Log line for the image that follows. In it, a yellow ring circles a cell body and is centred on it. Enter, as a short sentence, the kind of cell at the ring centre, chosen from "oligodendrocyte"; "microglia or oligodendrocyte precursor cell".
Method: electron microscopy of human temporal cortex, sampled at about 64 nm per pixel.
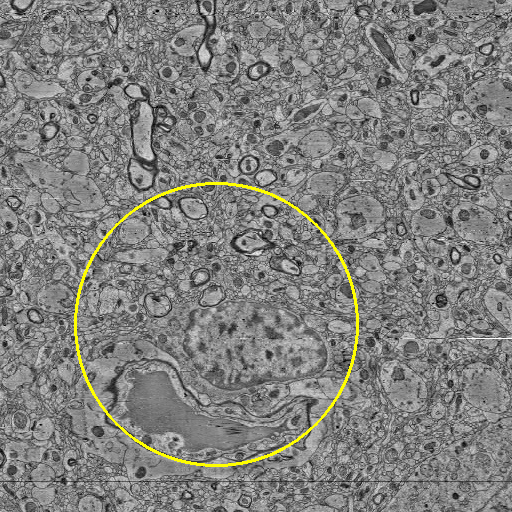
The ring centre is occupied by an oligodendrocyte.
